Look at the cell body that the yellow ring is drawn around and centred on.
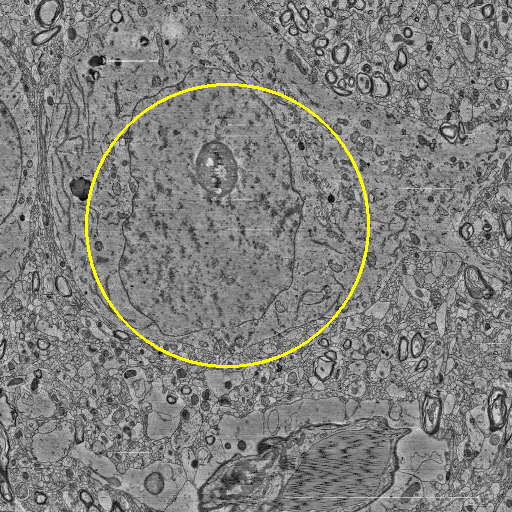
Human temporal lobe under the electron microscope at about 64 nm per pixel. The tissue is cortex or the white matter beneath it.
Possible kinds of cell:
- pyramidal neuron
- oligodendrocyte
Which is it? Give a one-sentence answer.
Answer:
The centred cell body is that of a pyramidal neuron.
